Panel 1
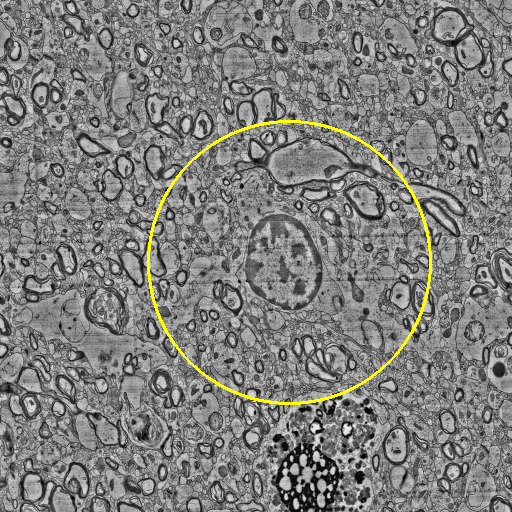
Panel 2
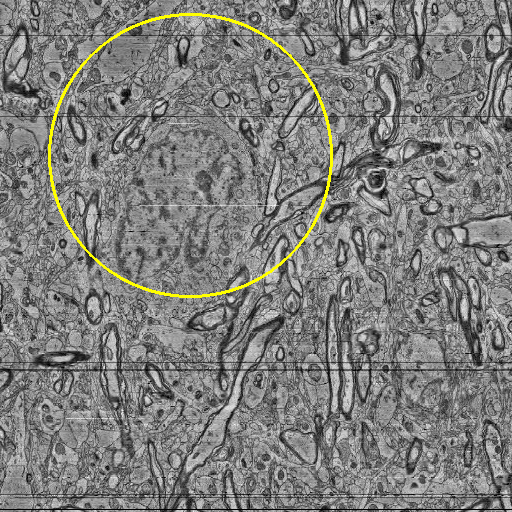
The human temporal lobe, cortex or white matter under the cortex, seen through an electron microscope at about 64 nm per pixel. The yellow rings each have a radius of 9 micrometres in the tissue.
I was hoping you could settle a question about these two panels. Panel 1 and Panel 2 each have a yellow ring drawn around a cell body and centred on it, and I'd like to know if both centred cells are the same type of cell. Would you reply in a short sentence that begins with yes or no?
No, they are two types of cell.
